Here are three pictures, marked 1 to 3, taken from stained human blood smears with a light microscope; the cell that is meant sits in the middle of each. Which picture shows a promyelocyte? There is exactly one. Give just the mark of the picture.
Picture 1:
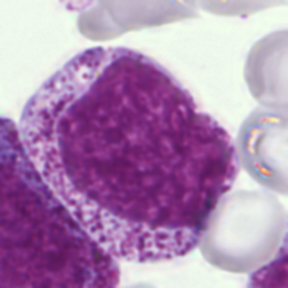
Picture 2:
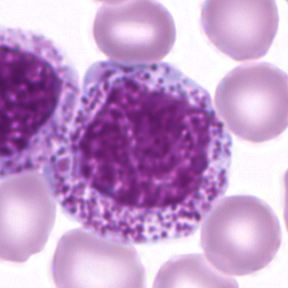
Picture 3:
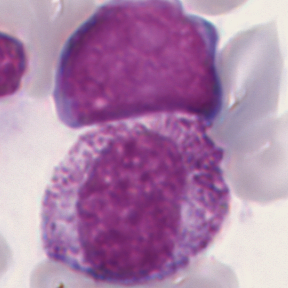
1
